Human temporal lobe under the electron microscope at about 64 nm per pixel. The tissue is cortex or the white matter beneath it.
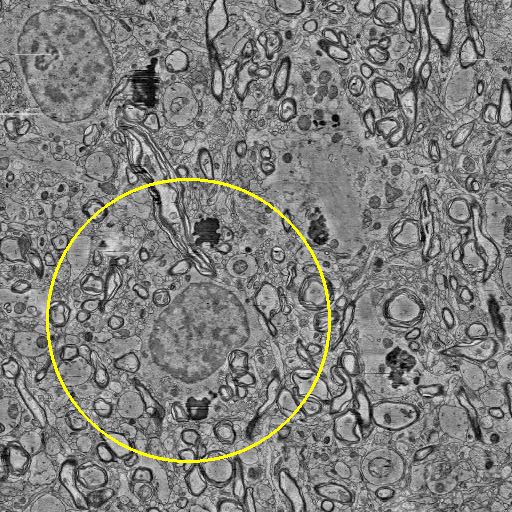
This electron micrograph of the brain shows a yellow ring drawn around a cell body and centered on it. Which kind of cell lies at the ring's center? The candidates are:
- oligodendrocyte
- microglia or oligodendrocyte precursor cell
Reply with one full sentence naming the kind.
The cell lying at the ring's center in this micrograph is an oligodendrocyte.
